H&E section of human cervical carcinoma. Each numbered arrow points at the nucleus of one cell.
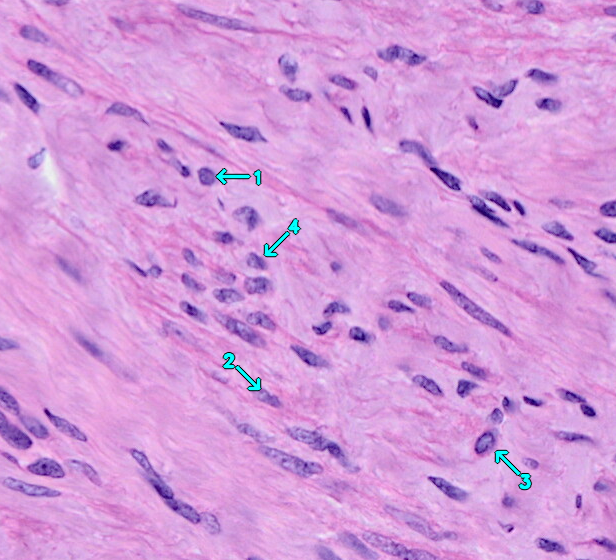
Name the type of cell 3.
smooth muscle cell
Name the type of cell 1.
fibroblast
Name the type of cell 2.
smooth muscle cell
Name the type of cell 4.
smooth muscle cell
